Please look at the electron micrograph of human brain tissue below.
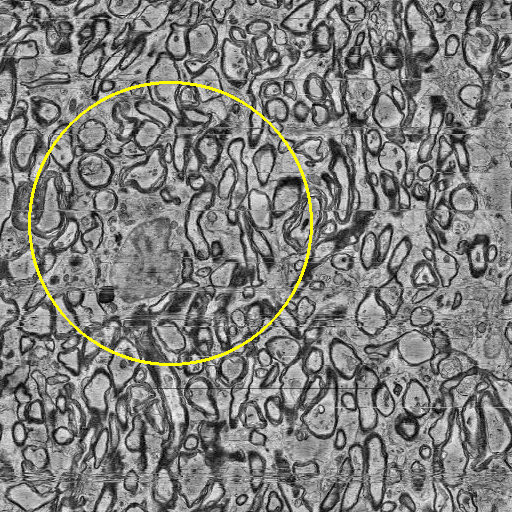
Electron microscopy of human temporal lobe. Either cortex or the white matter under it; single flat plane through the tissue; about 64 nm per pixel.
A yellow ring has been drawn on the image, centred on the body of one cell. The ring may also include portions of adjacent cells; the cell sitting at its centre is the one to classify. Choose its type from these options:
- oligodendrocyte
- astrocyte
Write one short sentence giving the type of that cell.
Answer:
The cell in the middle of the ring is an oligodendrocyte.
